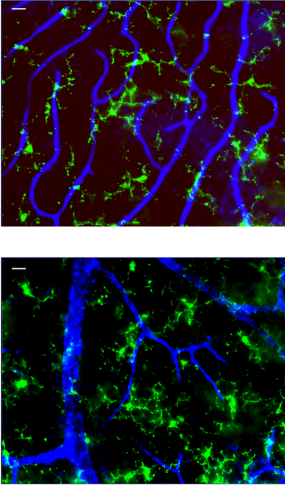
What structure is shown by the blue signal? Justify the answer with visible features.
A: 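Blue tubular branching structures run across the field. The blue tubes form a network that branches and joins. On this evidence: blood vessels.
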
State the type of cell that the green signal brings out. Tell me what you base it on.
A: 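Small green cells with compact bodies and several thin branching processes. The green cells are scattered singly between and along the blue vessels.
Hence: microglia.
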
